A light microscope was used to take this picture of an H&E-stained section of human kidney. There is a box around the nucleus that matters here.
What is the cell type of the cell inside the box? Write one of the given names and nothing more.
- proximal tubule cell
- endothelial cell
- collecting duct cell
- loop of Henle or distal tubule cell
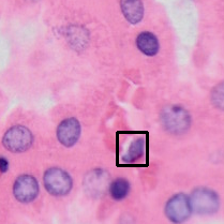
endothelial cell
